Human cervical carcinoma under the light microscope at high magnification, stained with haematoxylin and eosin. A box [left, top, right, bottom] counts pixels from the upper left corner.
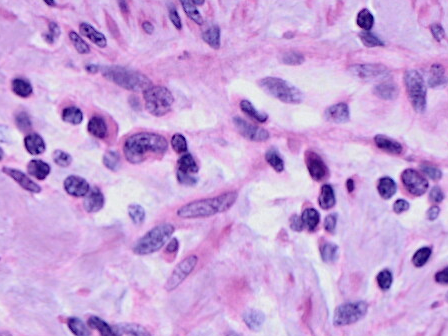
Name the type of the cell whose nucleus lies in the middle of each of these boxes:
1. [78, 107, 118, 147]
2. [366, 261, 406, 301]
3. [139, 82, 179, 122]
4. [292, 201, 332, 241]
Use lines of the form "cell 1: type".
cell 1: lymphocyte
cell 2: lymphocyte
cell 3: macrophage or monocyte
cell 4: lymphocyte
